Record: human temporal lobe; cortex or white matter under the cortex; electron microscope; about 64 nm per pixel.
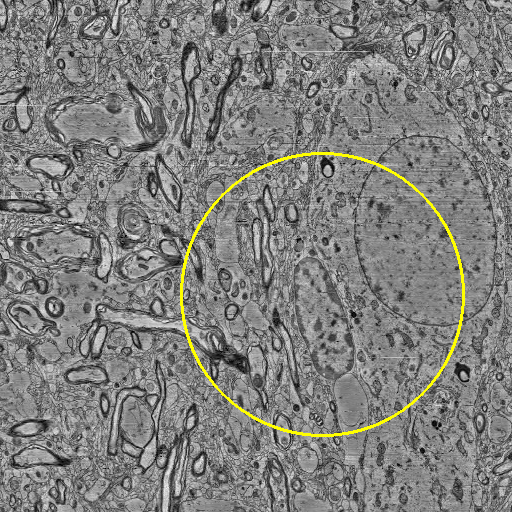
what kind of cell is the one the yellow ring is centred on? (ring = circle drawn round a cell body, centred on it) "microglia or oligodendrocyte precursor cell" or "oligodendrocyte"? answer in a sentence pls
The ring is drawn around a microglial cell or oligodendrocyte precursor cell.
